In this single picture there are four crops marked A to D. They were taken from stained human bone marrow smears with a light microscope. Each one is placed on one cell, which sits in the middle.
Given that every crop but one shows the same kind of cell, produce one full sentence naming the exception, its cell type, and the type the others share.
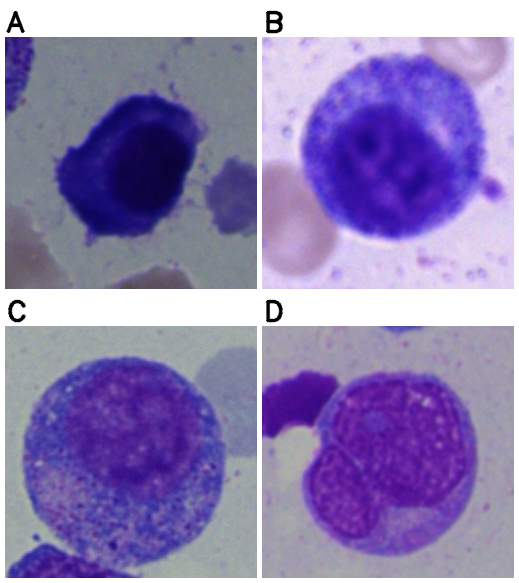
All of the other crops show promyelocytes, while crop A shows a plasma cell instead.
